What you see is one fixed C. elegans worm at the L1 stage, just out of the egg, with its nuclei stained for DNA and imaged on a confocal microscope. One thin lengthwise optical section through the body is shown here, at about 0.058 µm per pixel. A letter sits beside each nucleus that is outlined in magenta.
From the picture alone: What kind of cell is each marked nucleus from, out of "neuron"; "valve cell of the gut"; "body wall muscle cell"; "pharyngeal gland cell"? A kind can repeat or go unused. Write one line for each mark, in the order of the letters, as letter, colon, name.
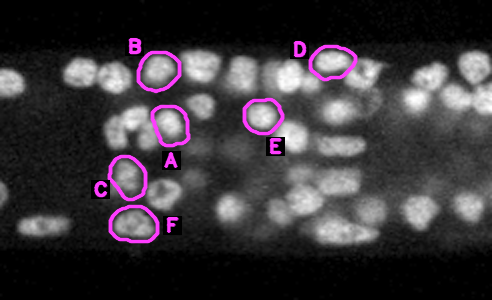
A: pharyngeal gland cell
B: neuron
C: valve cell of the gut
D: neuron
E: neuron
F: body wall muscle cell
